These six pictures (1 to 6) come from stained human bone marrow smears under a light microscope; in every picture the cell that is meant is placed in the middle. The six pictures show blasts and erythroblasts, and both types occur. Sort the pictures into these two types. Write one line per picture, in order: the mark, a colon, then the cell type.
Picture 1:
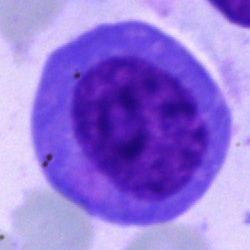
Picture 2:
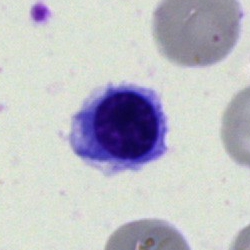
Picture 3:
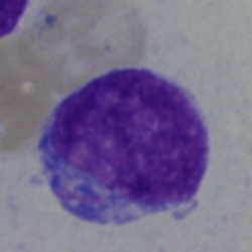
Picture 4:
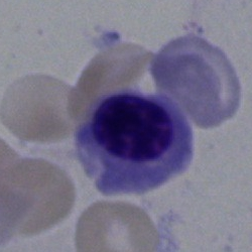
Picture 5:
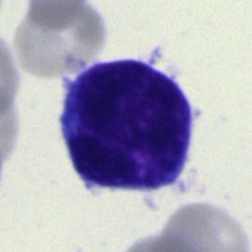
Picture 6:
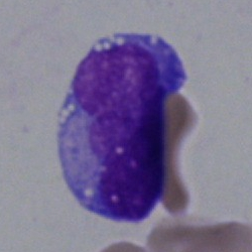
1: blast
2: erythroblast
3: blast
4: erythroblast
5: blast
6: blast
